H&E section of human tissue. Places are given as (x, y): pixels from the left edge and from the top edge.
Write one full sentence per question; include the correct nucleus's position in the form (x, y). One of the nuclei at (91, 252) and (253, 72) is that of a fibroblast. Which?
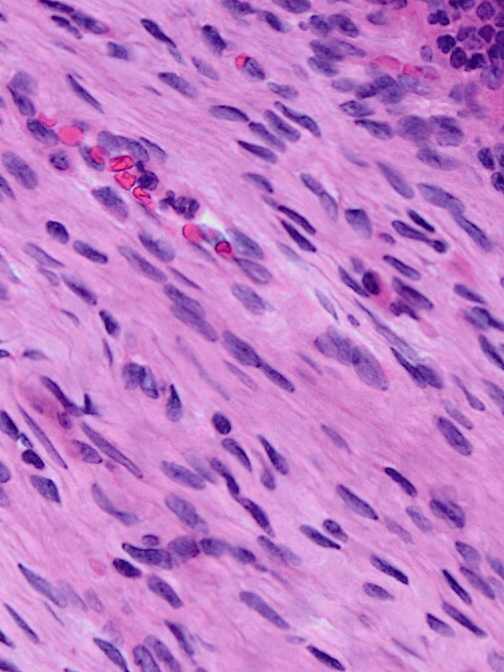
The cell to which the nucleus at (91, 252) belongs is a fibroblast.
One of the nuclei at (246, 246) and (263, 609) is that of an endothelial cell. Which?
Here the nucleus at (246, 246) is the one that belongs to an endothelial cell.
